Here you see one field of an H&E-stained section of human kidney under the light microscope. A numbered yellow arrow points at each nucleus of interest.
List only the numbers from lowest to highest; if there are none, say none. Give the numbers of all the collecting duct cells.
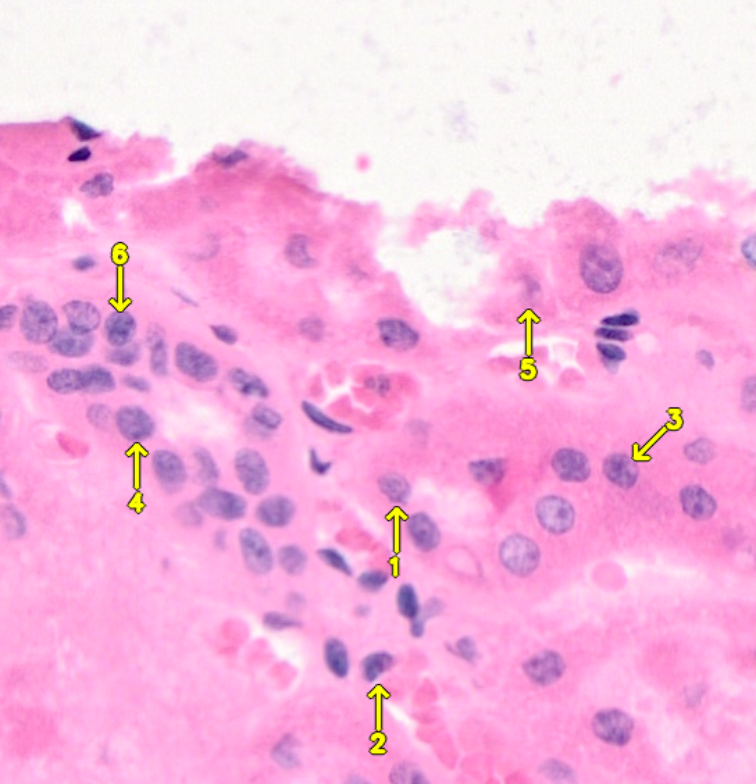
4, 6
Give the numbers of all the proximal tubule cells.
1, 3, 5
